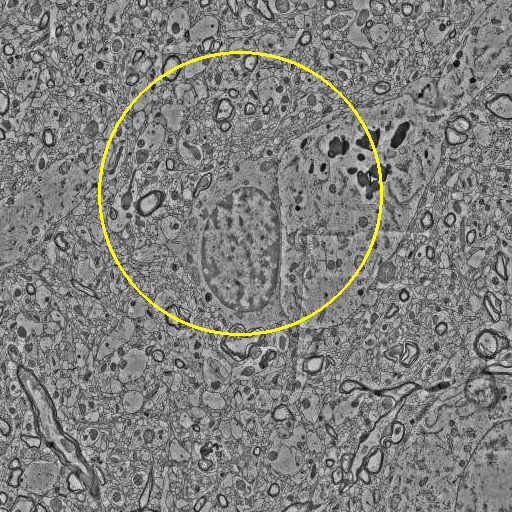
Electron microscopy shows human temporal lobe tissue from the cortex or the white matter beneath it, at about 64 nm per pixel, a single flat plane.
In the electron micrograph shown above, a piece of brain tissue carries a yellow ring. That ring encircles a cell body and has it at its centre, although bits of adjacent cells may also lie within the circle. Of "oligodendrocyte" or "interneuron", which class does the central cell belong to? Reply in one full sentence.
The cell body at the centre of the yellow ring belongs to an oligodendrocyte.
